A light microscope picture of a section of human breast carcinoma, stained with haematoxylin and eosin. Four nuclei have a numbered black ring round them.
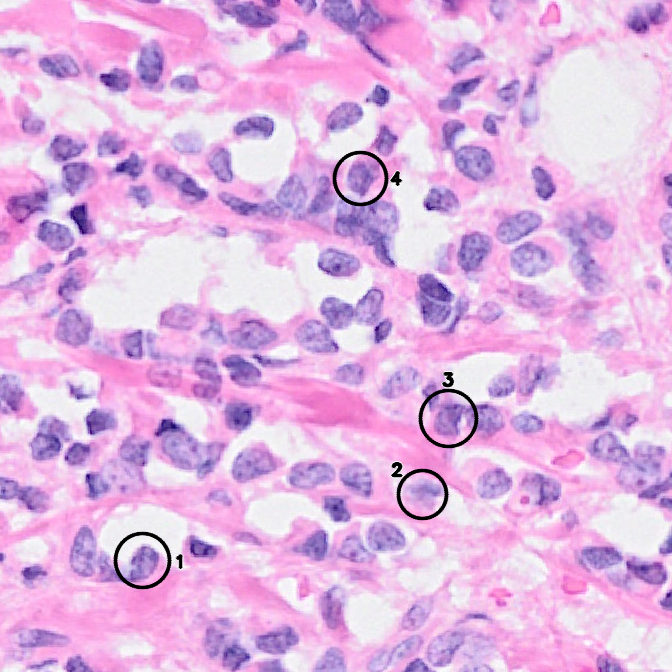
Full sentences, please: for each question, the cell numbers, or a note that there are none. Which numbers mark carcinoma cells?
Each of the cells numbered 1, 3 and 4 is among the carcinoma cells.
